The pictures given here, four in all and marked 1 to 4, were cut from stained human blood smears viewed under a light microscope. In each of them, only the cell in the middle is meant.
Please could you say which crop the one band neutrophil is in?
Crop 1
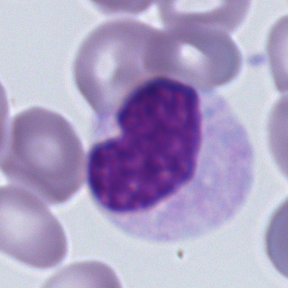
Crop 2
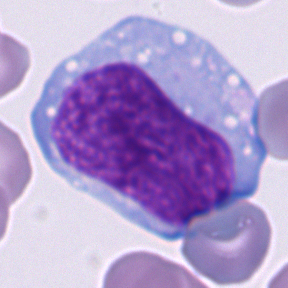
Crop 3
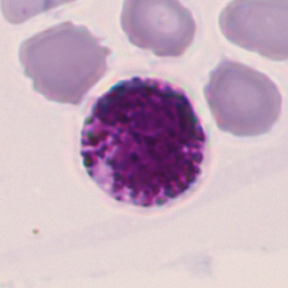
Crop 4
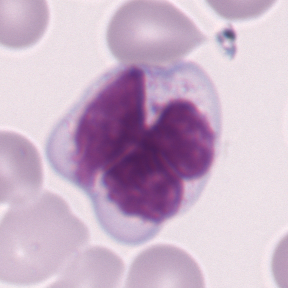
1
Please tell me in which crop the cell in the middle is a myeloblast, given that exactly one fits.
2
